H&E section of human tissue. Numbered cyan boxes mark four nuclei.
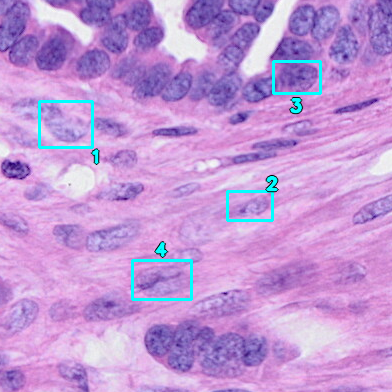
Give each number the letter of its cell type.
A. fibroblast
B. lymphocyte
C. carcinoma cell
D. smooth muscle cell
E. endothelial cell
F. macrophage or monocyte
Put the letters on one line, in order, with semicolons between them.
A; A; C; A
